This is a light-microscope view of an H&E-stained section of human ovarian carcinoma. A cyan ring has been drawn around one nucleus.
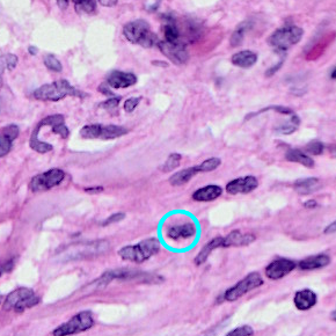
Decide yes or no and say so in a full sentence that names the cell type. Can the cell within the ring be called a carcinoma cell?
No, it is a lymphocyte that the cell within the ring is, rather than a carcinoma cell.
